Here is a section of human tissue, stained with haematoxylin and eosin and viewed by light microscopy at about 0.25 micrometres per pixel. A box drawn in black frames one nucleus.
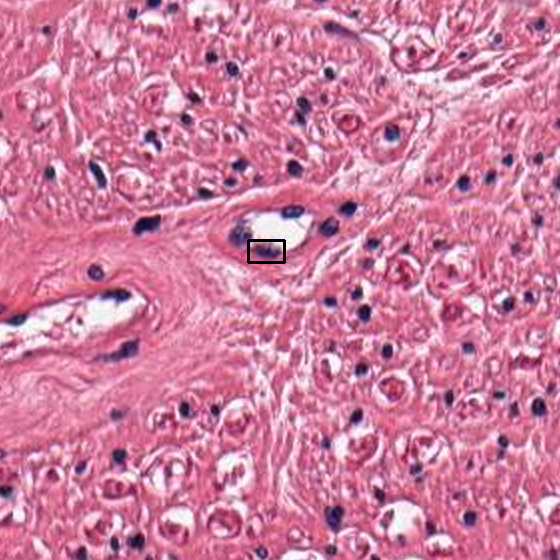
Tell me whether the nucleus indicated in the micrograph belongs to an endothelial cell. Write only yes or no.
yes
